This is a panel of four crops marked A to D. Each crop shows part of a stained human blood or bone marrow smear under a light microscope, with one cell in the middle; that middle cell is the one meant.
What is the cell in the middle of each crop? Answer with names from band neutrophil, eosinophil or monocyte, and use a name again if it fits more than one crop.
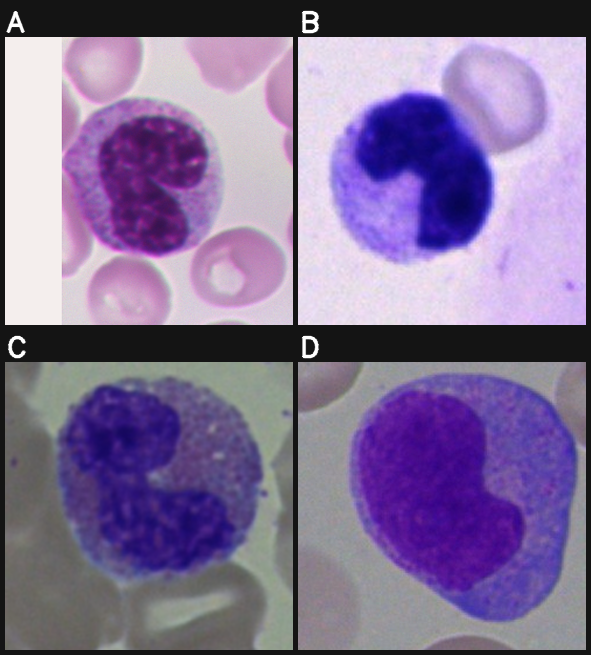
A: band neutrophil
B: band neutrophil
C: eosinophil
D: monocyte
